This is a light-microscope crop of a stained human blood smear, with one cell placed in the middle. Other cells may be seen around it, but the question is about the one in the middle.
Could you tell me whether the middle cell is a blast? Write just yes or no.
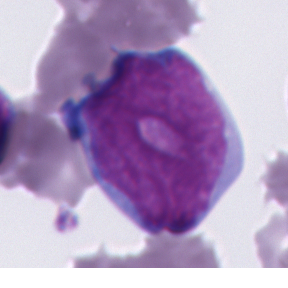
yes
